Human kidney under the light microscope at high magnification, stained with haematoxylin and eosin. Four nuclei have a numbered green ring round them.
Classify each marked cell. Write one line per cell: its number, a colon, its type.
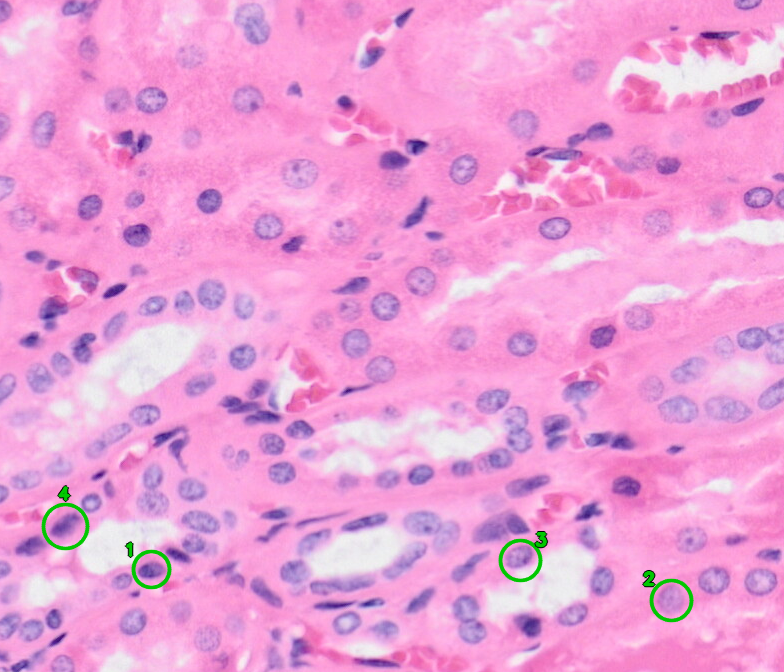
1: collecting duct cell
2: proximal tubule cell
3: loop of Henle or distal tubule cell
4: collecting duct cell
